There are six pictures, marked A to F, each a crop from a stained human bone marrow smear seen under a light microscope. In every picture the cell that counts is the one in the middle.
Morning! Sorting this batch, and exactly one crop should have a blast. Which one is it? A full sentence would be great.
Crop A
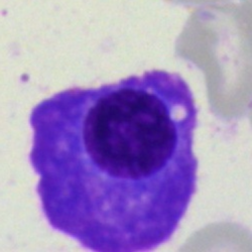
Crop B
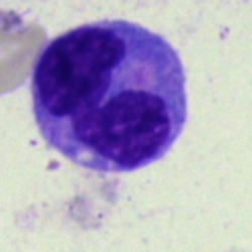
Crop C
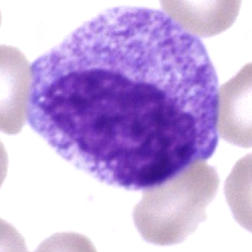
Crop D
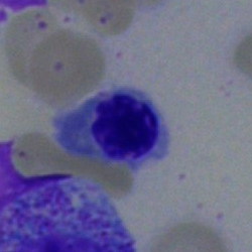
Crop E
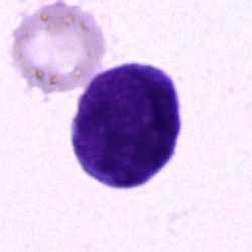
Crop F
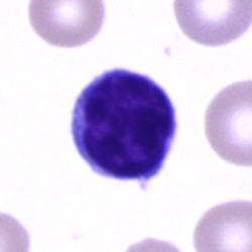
Crop E, and no other, is the one that shows a blast.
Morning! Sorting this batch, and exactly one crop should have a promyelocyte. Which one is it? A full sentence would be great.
So the crop with a promyelocyte at its center is crop C.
